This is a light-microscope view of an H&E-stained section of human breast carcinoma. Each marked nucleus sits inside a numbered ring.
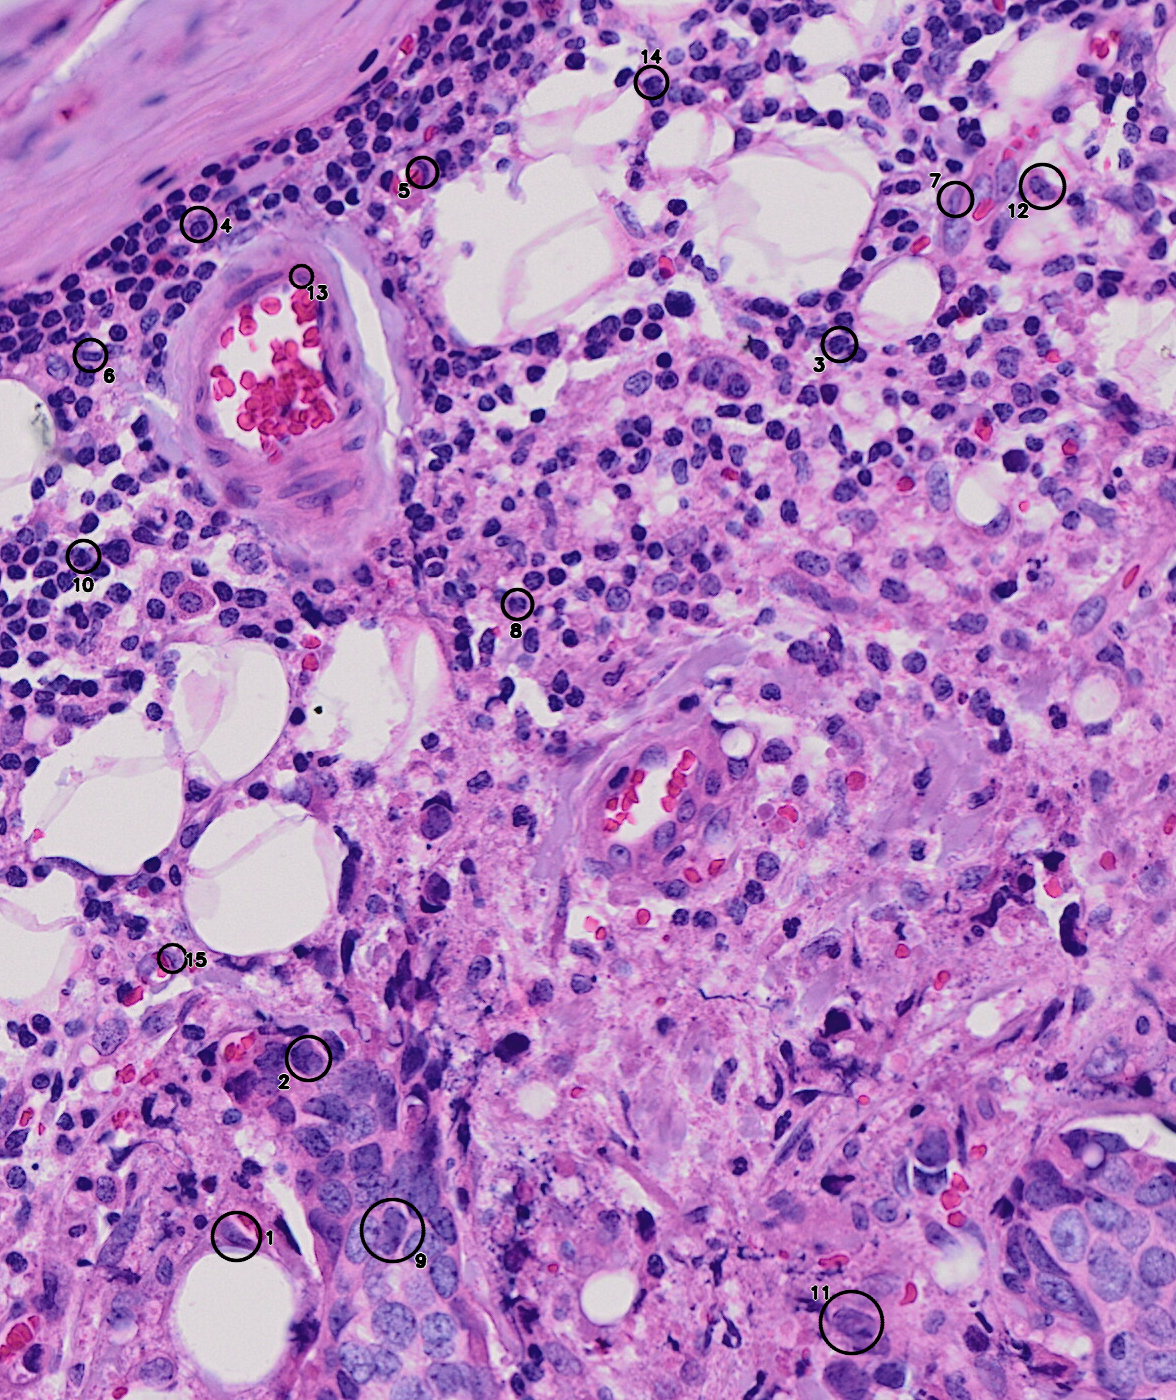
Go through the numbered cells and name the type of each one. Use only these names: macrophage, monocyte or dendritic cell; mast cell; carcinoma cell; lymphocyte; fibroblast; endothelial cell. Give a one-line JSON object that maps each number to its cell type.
{"1": "endothelial cell", "2": "carcinoma cell", "3": "lymphocyte", "4": "lymphocyte", "5": "endothelial cell", "6": "lymphocyte", "7": "endothelial cell", "8": "lymphocyte", "9": "carcinoma cell", "10": "lymphocyte", "11": "carcinoma cell", "12": "mast cell", "13": "endothelial cell", "14": "lymphocyte", "15": "endothelial cell"}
